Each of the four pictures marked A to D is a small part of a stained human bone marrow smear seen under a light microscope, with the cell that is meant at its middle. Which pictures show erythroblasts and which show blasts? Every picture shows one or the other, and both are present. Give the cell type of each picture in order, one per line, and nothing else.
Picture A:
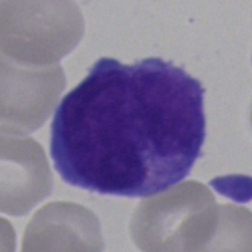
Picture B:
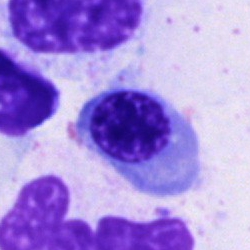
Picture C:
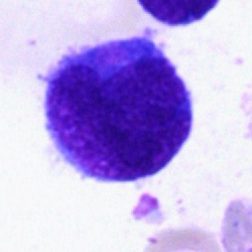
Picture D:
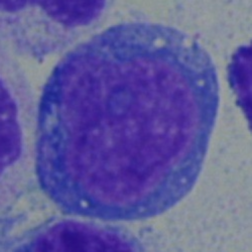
blast
erythroblast
blast
blast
